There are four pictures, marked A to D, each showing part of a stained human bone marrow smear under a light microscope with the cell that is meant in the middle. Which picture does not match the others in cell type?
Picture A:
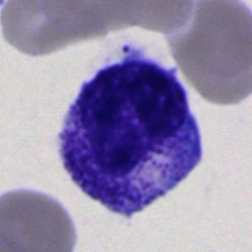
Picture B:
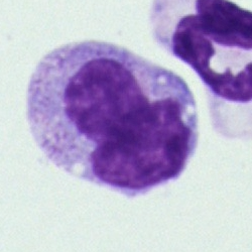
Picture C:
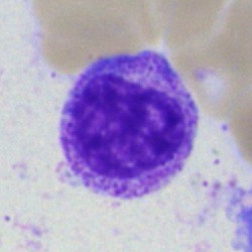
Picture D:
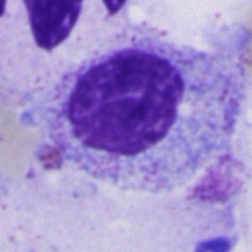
B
